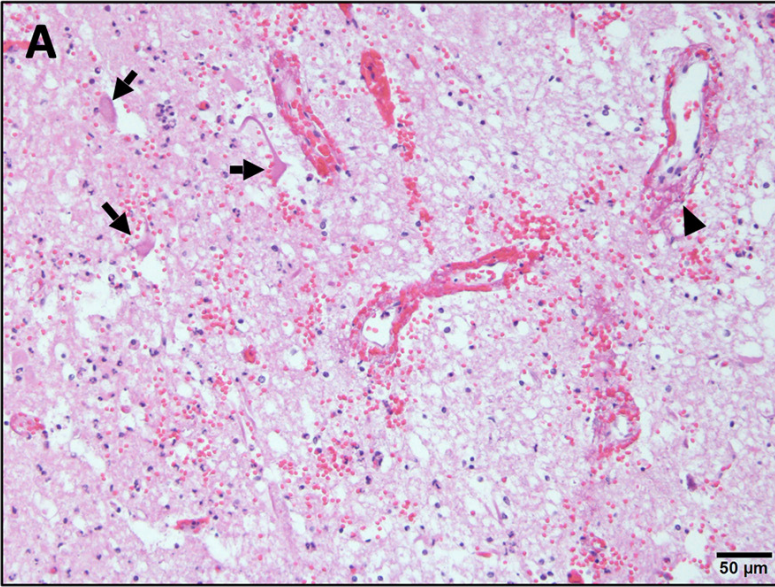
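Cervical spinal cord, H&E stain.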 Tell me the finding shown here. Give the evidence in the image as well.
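Neuropil rarefaction and vacuolation. The pale pink background is loose and full of small clear spaces. Few neuronal cell bodies remain.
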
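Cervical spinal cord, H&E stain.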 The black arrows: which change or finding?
Necrosis.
